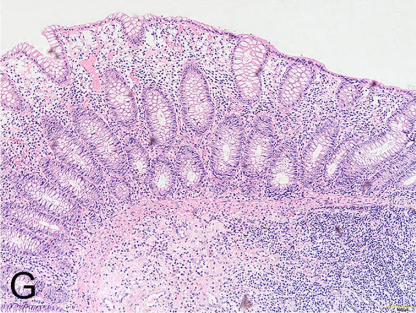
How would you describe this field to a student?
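Colonic mucosa in vertical section, with a surface epithelium at the top and tubular crypts running downward, lined by columnar cells rich in pale goblet cells. The crypts are of uneven length and spacing, and some look irregular. Beneath and between them the pink stroma is expanded, and in the lower right a broad, dense sheet of small dark-blue nuclei forms a heavy infiltrate of inflammatory cells. Toward the lower left the stroma is looser and paler. The picture is one of inflamed mucosa with a cellular lamina propria and disturbed crypt arrangement.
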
